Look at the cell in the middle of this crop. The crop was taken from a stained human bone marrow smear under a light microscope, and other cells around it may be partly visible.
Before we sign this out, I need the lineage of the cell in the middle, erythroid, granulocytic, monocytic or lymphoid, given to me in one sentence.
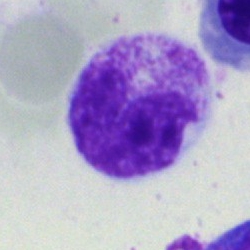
The cell found in the middle of this crop is granulocytic in lineage.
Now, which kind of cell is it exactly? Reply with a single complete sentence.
The crop centres on a single cell, and that cell is a band neutrophil.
